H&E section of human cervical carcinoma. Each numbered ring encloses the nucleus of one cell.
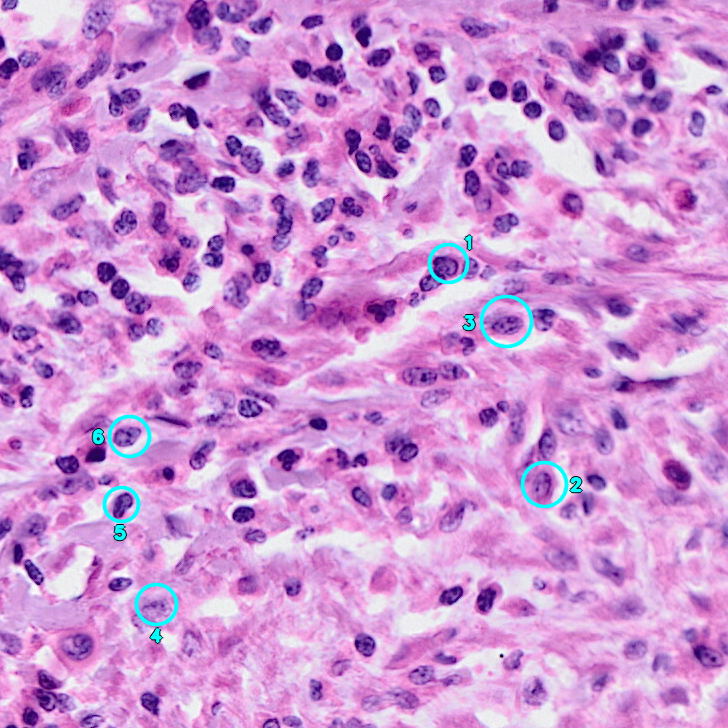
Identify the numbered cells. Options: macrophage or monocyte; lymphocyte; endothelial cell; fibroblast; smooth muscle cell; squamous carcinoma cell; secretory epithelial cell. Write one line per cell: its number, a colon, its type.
1: macrophage or monocyte
2: macrophage or monocyte
3: macrophage or monocyte
4: fibroblast
5: lymphocyte
6: lymphocyte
